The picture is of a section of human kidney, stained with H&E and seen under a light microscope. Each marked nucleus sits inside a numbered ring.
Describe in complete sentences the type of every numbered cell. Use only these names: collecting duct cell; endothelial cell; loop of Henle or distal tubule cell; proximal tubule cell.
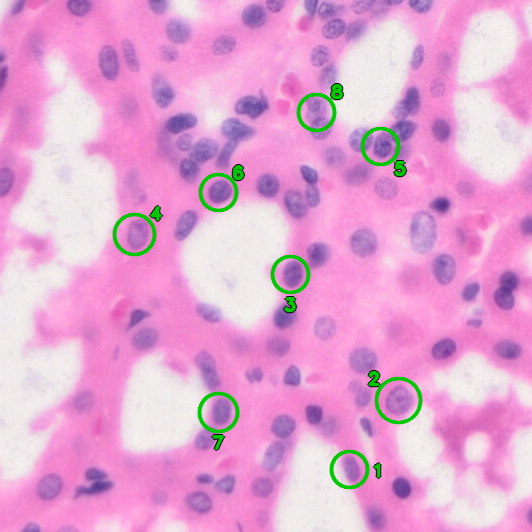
Cell 1 is a loop of Henle or distal tubule cell, cell 2 is a proximal tubule cell, cell 3 is a loop of Henle or distal tubule cell, cell 4 is a proximal tubule cell, cell 5 is a collecting duct cell, cell 6 is a loop of Henle or distal tubule cell, cell 7 is a loop of Henle or distal tubule cell and cell 8 is a collecting duct cell.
